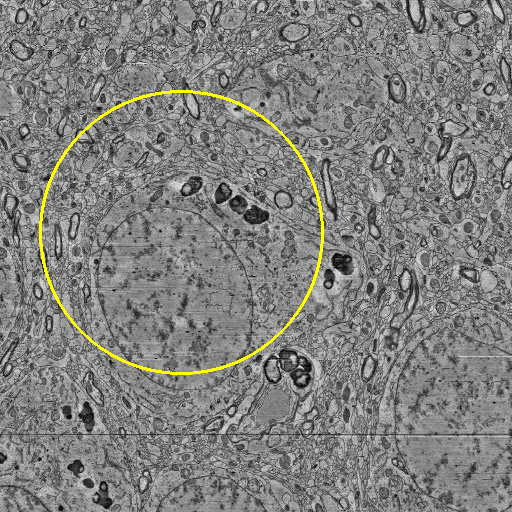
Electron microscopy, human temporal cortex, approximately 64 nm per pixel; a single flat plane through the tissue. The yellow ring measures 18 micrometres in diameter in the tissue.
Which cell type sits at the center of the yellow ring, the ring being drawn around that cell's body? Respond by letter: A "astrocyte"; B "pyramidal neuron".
B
